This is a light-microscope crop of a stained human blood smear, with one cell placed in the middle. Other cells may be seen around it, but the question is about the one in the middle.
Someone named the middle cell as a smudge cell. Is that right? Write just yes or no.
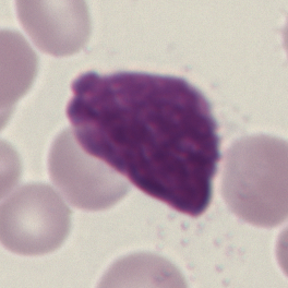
yes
